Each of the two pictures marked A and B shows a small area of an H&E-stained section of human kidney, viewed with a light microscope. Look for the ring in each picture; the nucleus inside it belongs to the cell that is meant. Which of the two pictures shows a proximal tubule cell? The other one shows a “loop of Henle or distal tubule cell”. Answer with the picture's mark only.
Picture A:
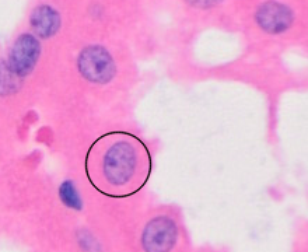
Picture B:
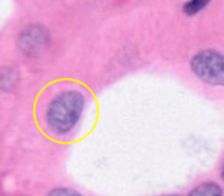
A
